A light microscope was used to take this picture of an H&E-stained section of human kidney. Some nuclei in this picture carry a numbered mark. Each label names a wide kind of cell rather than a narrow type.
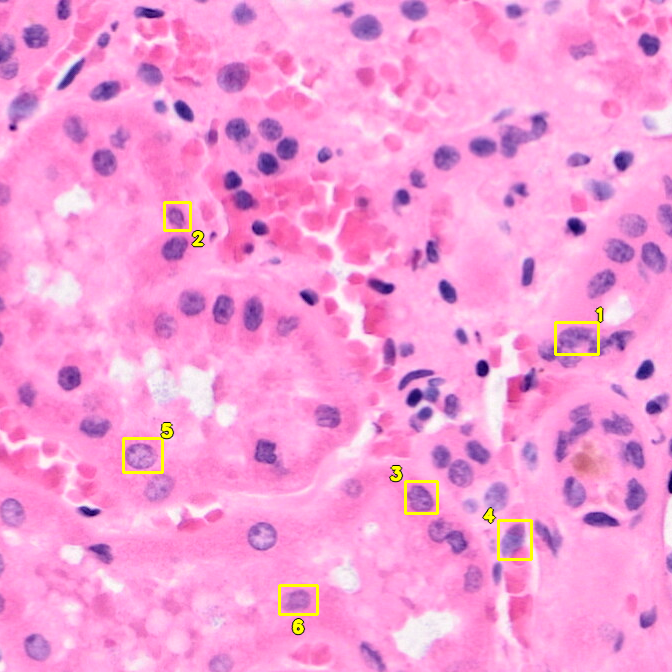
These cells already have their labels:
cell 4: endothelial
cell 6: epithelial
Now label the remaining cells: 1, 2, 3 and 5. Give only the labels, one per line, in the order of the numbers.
epithelial
epithelial
epithelial
epithelial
